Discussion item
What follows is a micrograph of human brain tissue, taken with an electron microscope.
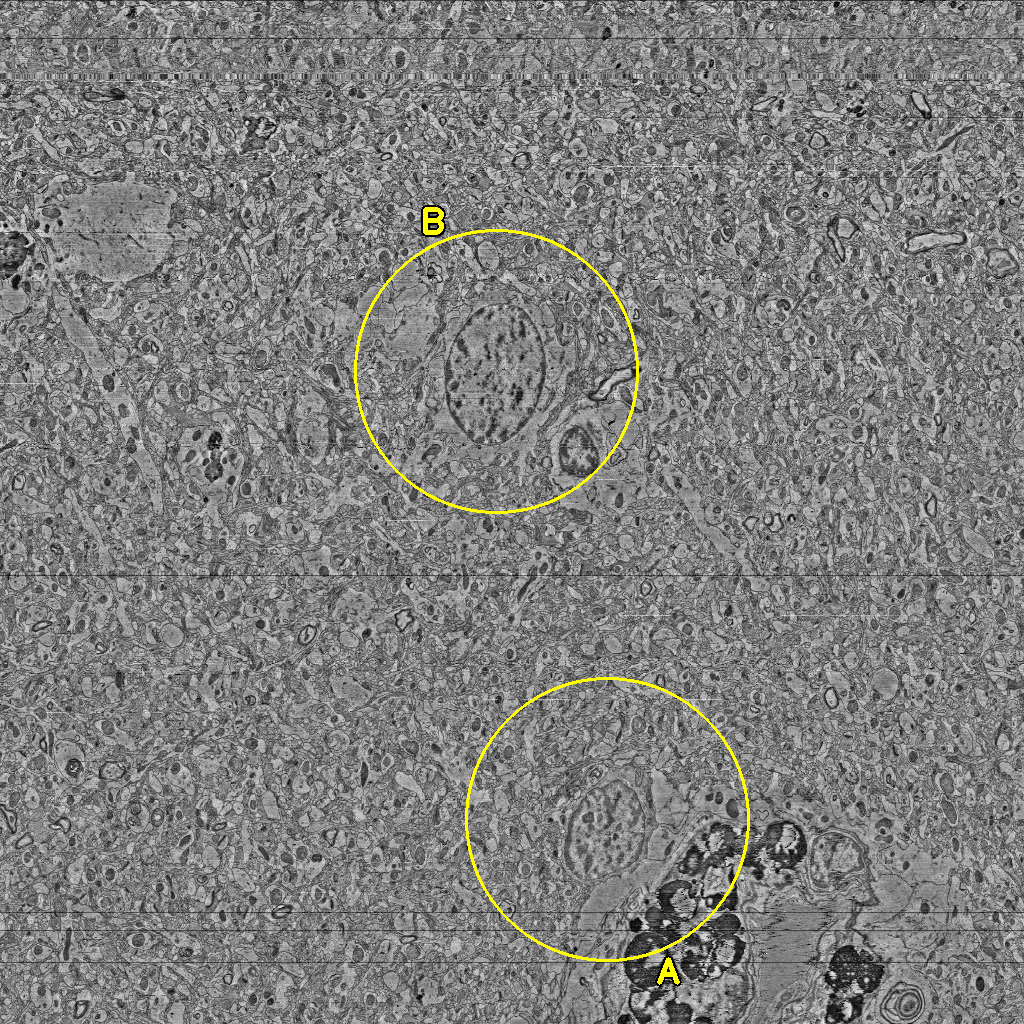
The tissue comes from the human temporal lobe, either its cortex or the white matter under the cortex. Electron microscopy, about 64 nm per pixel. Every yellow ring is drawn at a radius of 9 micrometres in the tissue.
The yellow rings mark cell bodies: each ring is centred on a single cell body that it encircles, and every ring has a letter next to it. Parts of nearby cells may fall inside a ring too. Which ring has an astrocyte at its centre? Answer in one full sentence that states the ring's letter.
Ring B is the ring whose centre falls on the cell the question asks about.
